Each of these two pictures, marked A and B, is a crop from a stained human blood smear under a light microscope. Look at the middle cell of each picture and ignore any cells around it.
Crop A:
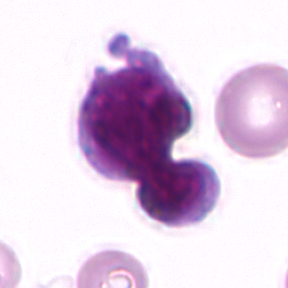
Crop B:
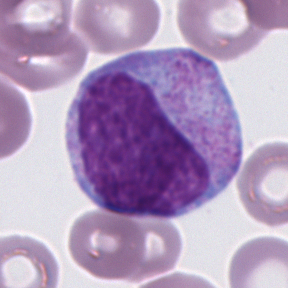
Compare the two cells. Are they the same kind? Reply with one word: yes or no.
yes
